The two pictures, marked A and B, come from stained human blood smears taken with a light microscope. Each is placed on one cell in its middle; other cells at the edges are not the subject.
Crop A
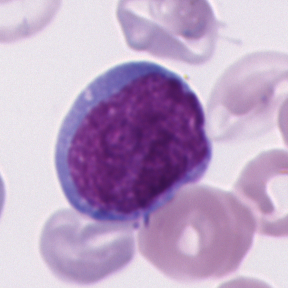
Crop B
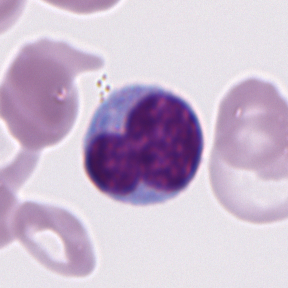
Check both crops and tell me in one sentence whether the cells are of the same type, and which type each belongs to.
No, it is crop A that shows a myeloblast, and crop B shows a typical lymphocyte.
